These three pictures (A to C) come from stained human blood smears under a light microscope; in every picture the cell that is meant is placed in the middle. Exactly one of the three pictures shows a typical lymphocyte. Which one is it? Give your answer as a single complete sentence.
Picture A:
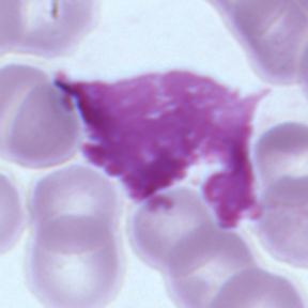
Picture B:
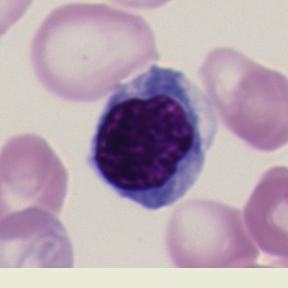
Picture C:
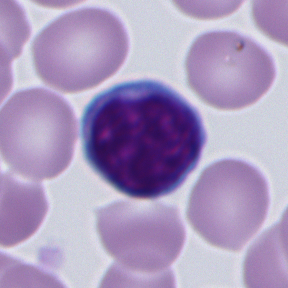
The typical lymphocyte is the one in picture C.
